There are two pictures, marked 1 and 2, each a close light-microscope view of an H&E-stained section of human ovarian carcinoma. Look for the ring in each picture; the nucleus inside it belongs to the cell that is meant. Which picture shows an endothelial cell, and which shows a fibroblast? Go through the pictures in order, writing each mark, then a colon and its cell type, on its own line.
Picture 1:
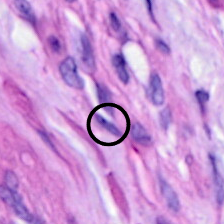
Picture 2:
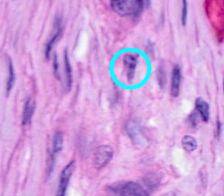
1: endothelial cell
2: fibroblast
